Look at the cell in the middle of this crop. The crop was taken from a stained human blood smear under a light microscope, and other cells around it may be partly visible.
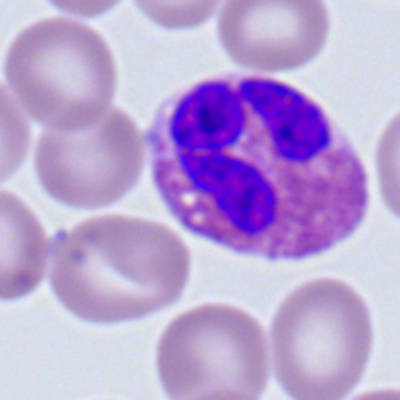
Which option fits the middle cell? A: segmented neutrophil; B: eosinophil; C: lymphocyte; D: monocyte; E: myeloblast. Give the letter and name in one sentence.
The expected answer is option B, the central cell being an eosinophil.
